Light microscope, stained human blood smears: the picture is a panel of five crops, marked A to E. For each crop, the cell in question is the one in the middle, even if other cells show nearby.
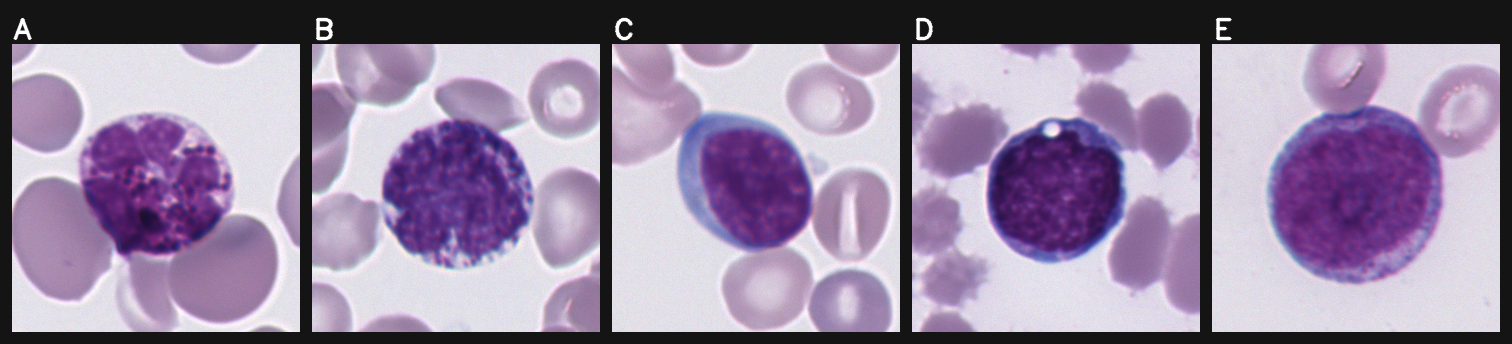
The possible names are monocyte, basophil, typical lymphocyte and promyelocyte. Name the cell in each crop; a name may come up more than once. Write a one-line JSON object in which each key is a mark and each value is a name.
{"A": "basophil", "B": "basophil", "C": "typical lymphocyte", "D": "monocyte", "E": "promyelocyte"}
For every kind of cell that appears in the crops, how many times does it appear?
basophil: 2
typical lymphocyte: 1
monocyte: 1
promyelocyte: 1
